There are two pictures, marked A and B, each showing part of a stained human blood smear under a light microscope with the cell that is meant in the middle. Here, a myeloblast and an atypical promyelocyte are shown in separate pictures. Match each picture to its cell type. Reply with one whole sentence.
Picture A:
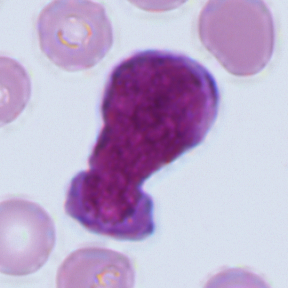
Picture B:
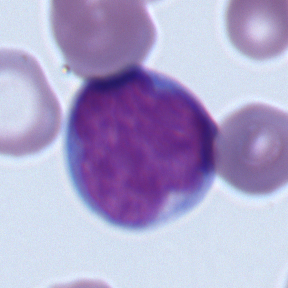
Picture A is of an atypical promyelocyte, and picture B is of a myeloblast.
